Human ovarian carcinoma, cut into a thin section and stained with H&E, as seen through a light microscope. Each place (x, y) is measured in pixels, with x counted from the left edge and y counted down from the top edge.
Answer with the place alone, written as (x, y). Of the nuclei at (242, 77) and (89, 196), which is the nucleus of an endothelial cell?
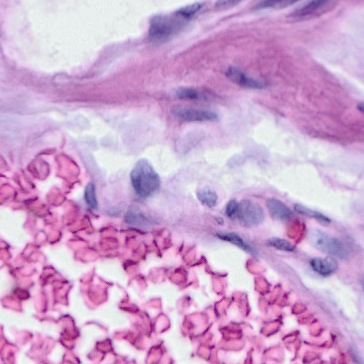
(89, 196)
